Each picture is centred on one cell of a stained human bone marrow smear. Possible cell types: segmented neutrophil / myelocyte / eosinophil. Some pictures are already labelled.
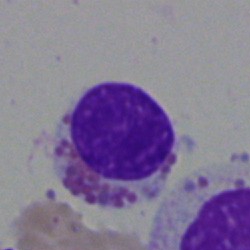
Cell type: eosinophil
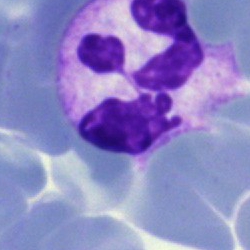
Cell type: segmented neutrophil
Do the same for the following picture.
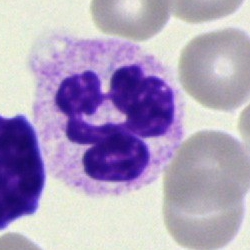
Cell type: segmented neutrophil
